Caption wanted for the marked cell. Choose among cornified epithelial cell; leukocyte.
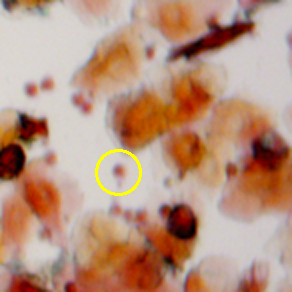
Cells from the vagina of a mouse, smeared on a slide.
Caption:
Ringed in yellow is a leukocyte.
